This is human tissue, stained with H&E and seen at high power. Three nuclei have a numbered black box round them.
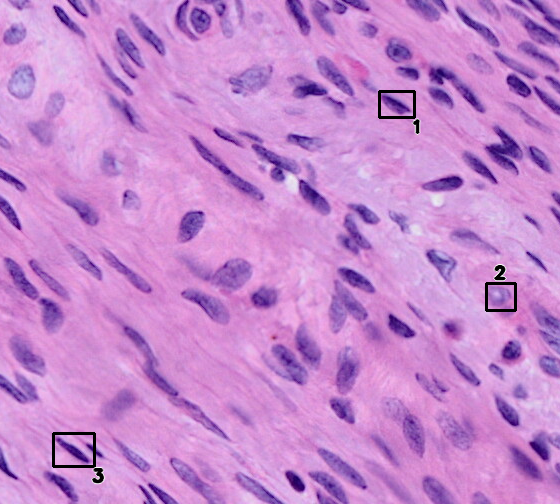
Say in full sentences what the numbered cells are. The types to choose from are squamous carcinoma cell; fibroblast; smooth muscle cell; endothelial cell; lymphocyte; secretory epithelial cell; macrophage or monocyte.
Cells 1 and 3 are fibroblasts. Cell 2 is a smooth muscle cell.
